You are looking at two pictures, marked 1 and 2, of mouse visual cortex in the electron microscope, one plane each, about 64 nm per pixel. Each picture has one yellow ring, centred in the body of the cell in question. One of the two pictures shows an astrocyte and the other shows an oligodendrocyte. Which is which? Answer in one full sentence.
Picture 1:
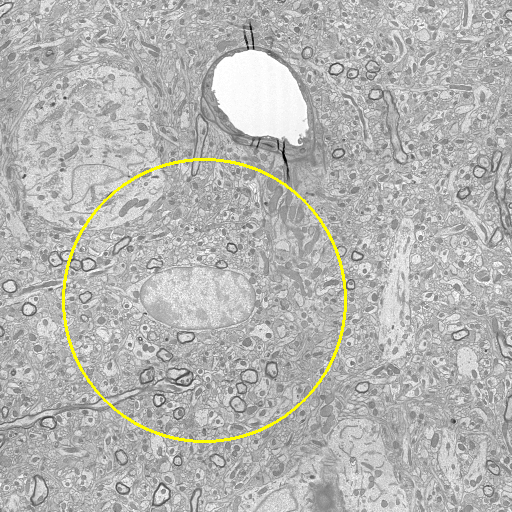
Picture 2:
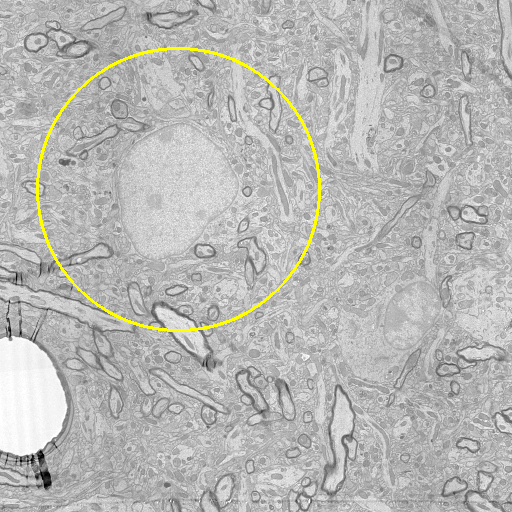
Picture 1 shows an oligodendrocyte and picture 2 shows an astrocyte.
